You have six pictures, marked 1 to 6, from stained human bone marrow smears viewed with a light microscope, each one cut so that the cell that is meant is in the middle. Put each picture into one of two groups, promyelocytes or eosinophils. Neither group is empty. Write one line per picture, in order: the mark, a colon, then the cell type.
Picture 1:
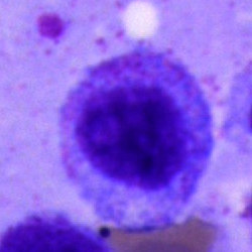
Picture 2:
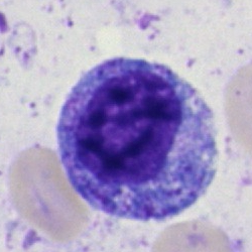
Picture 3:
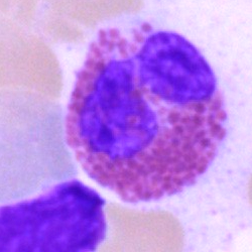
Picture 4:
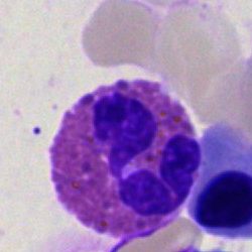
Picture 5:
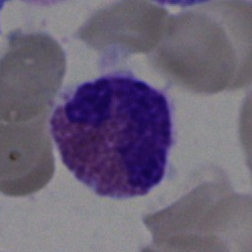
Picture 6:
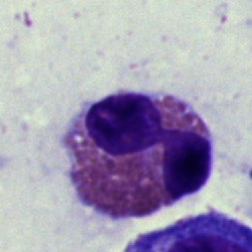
1: promyelocyte
2: promyelocyte
3: eosinophil
4: eosinophil
5: eosinophil
6: eosinophil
